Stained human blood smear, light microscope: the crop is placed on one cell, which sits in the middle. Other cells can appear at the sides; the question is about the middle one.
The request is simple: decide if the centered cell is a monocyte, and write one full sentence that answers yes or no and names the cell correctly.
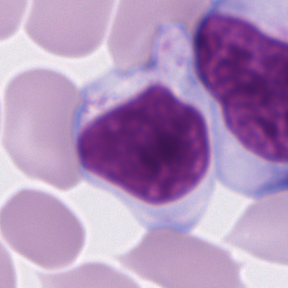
No, not a monocyte but a large granular lymphocyte is the cell in the centre.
